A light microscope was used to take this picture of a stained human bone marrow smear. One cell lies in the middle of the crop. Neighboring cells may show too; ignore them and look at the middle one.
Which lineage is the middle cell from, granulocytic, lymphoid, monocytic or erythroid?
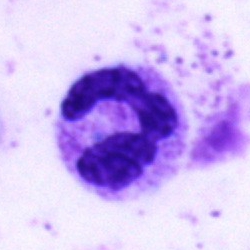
granulocytic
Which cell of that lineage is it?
segmented neutrophil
